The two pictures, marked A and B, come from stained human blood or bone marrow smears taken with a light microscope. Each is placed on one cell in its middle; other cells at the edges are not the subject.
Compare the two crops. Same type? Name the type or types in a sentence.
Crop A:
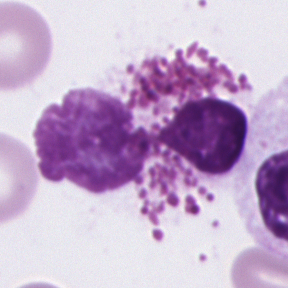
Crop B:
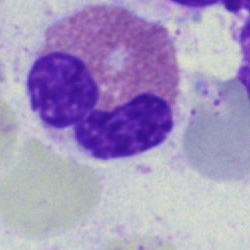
Yes, in both crops the centred cells are eosinophils.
